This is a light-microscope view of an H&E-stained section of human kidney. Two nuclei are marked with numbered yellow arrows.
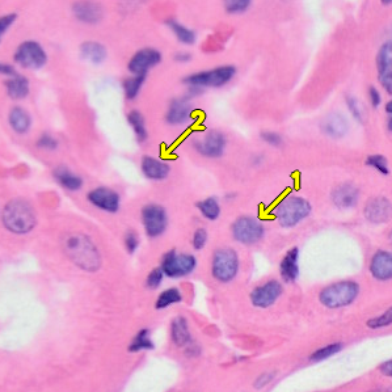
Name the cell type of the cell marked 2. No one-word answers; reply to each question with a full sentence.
In this section, the cell numbered 2 is a collecting duct cell.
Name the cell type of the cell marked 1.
The cell referenced by the number 1 is a loop of Henle or distal tubule cell in this field.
